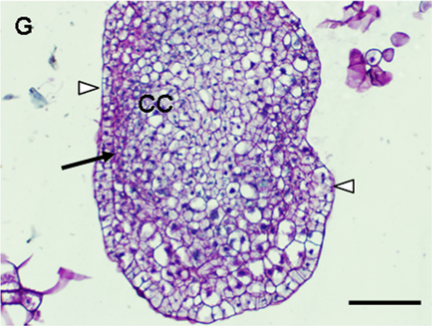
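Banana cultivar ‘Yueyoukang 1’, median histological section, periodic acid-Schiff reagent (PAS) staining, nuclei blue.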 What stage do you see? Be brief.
pear-shaped embryo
